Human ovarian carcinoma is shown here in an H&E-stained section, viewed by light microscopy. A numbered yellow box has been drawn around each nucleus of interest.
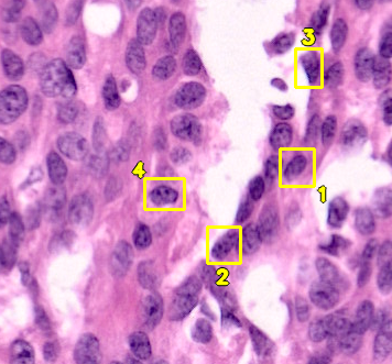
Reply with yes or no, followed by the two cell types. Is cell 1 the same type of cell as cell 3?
Yes, in the case of cells 1 and 3, both are carcinoma cells.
